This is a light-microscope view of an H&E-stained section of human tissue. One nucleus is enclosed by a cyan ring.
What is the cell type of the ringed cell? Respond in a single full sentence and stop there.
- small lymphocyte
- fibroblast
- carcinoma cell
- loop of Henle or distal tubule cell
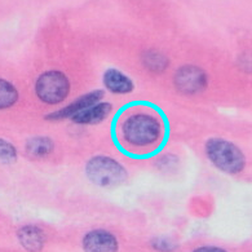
In this preparation, the ringed cell is a loop of Henle or distal tubule cell.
